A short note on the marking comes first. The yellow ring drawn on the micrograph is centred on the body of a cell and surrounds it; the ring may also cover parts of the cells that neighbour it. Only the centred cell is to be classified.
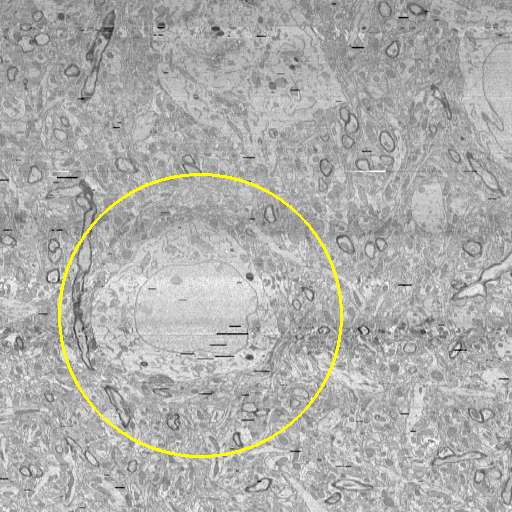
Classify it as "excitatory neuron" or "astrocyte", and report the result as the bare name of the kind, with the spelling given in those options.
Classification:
excitatory neuron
